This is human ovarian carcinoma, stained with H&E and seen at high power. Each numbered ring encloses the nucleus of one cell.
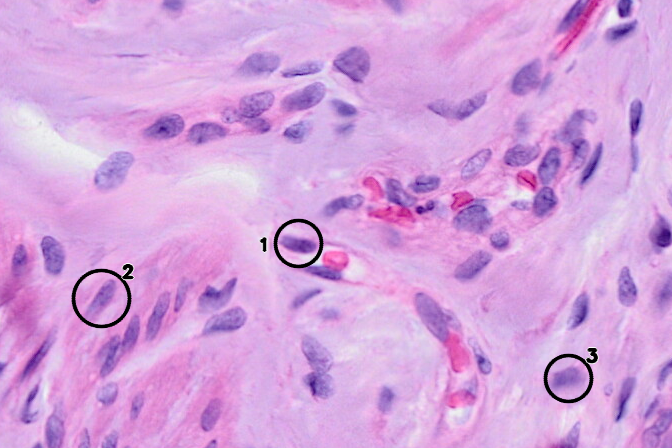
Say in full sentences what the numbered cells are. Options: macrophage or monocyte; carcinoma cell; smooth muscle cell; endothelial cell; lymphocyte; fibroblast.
Cell 1 is an endothelial cell. Cell 2 is a smooth muscle cell. Cell 3 is a fibroblast.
